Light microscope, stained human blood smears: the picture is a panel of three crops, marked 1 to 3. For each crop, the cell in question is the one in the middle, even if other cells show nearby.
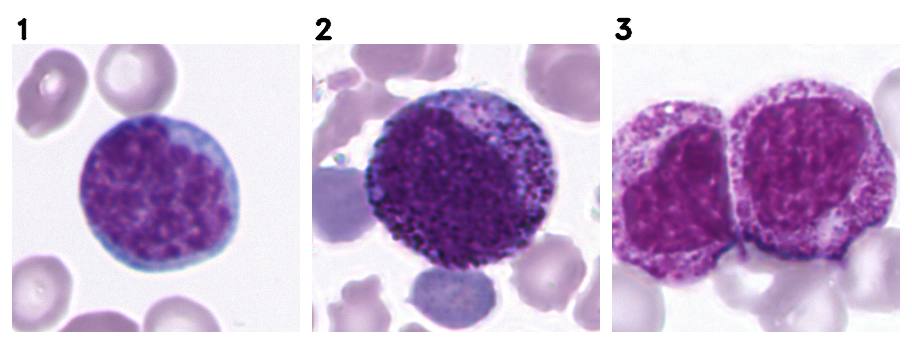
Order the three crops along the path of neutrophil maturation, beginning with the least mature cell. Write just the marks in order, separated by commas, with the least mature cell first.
1, 2, 3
